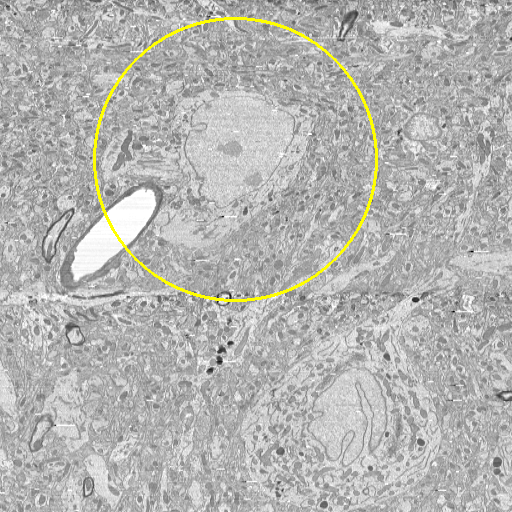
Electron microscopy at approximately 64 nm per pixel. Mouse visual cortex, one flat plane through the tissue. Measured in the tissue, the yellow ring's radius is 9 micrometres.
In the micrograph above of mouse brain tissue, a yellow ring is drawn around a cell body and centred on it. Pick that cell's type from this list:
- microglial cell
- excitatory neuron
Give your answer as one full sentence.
Going by the list, an excitatory neuron is the cell on which the yellow ring is centred.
